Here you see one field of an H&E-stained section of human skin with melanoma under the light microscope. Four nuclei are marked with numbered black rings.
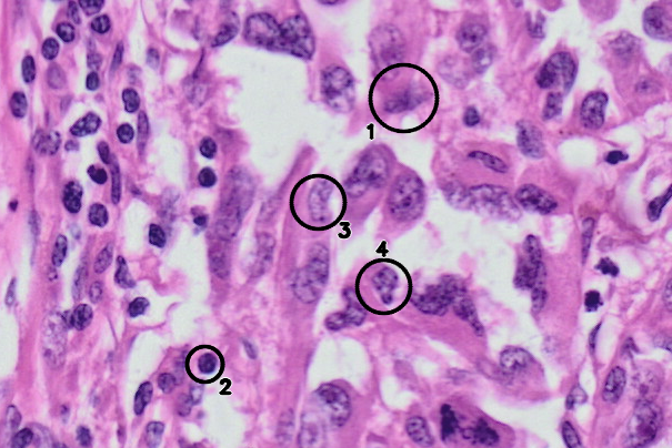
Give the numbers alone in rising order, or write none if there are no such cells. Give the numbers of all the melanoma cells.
1, 3, 4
